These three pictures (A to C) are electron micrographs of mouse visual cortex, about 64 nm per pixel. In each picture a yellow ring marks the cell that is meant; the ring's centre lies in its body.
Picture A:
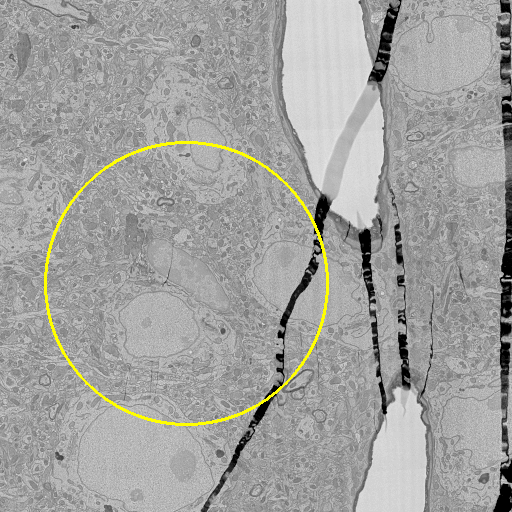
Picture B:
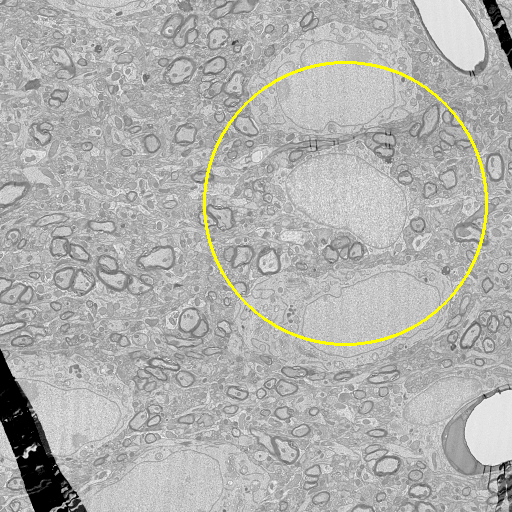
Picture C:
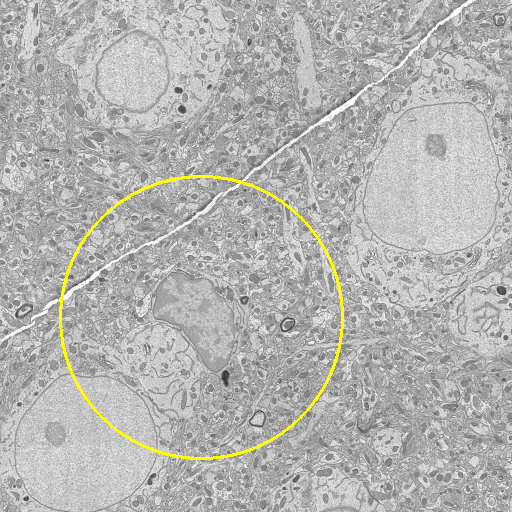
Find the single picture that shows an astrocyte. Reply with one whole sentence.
Picture B is the one that shows the astrocyte.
